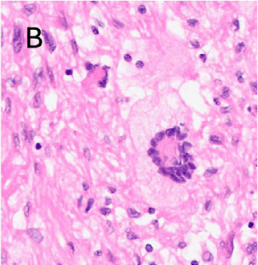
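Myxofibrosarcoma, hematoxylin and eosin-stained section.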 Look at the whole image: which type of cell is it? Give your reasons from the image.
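A central ring of nuclei in one large cell. Pale, foamy cytoplasm around the ring of nuclei. The answer: touton giant cell.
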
